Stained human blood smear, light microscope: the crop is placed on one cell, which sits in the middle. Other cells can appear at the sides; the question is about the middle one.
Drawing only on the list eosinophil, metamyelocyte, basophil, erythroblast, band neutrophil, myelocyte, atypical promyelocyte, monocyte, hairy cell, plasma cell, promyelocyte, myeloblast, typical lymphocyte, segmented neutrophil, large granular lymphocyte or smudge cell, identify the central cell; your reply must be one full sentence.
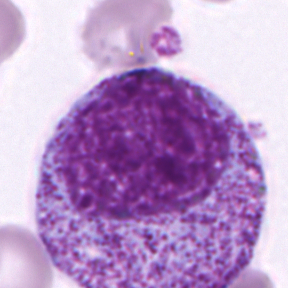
This crop's central cell is a promyelocyte.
